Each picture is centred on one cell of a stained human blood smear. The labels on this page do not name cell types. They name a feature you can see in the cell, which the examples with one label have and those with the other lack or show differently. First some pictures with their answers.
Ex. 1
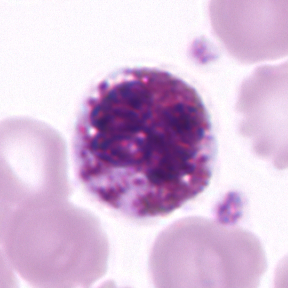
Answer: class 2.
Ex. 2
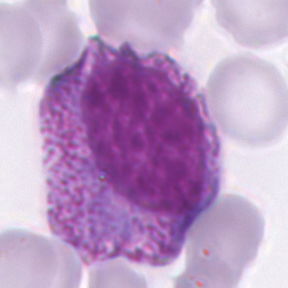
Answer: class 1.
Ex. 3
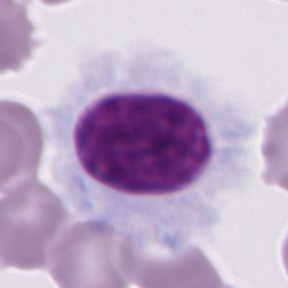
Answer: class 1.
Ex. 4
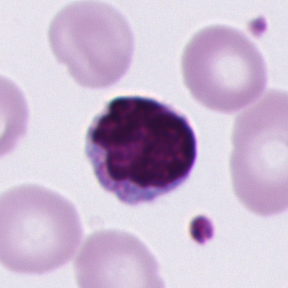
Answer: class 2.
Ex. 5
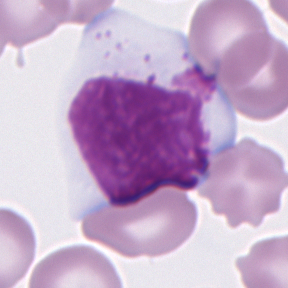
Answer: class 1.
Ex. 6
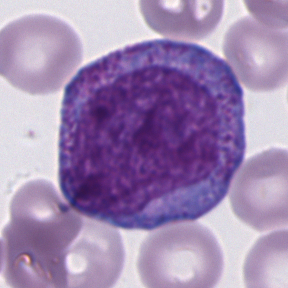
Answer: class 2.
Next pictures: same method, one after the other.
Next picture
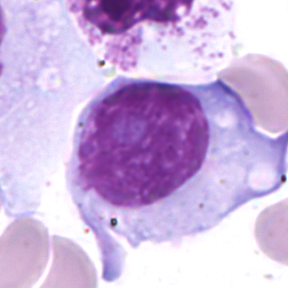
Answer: class 1.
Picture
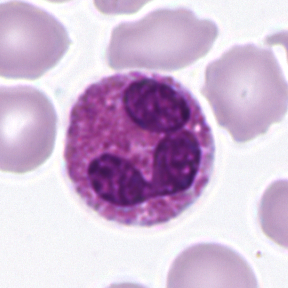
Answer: class 1.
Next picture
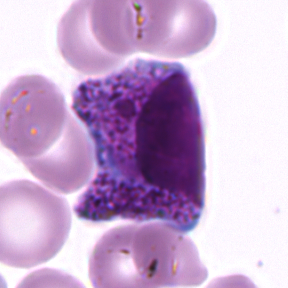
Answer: class 1.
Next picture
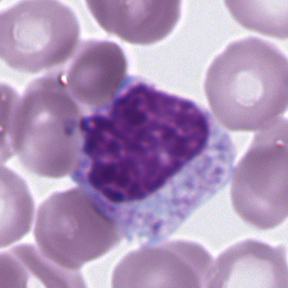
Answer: class 1.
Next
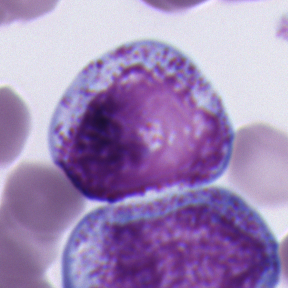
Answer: class 2.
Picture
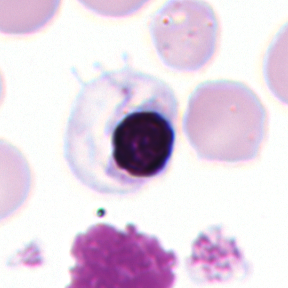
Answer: class 1.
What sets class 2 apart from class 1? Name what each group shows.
class 2: scant cytoplasm; class 1: abundant cytoplasm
